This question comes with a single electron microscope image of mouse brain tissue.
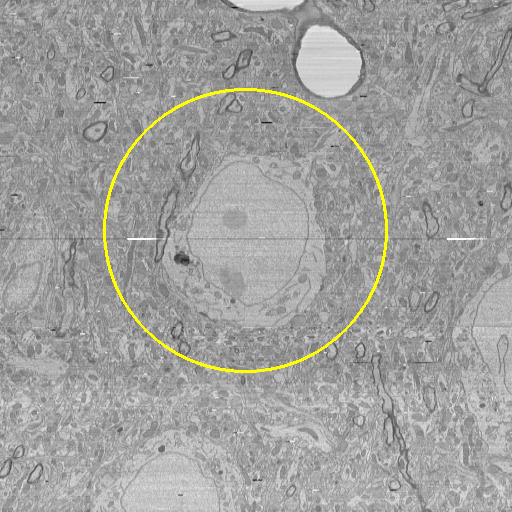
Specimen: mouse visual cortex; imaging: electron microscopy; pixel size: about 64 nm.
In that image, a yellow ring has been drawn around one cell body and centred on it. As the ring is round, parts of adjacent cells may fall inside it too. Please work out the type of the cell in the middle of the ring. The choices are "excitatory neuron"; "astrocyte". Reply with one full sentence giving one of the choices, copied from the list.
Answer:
Of the choices, an excitatory neuron is the cell sitting in the middle of the ring.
